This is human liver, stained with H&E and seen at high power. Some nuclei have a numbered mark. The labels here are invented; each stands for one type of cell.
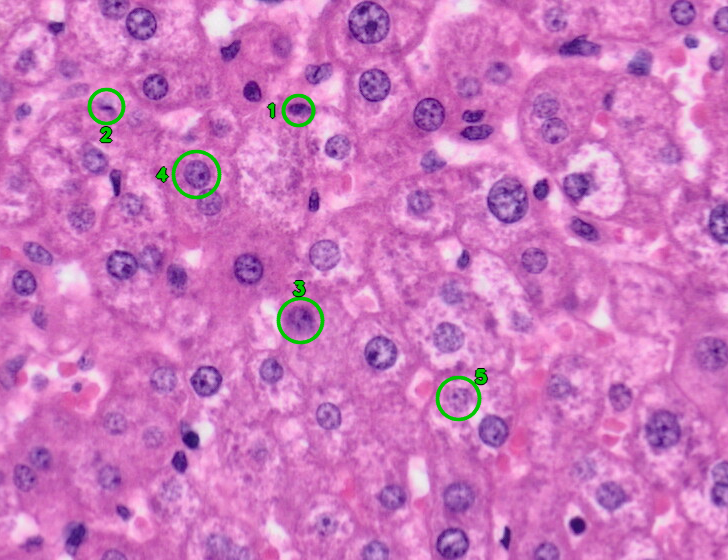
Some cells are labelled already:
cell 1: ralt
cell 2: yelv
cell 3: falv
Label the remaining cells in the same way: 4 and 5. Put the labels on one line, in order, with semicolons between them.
falv; falv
